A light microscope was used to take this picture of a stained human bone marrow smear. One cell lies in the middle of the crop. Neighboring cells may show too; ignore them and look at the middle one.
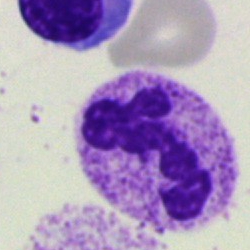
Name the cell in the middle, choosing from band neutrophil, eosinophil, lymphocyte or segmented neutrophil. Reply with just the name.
segmented neutrophil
